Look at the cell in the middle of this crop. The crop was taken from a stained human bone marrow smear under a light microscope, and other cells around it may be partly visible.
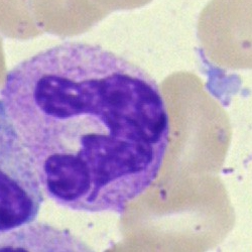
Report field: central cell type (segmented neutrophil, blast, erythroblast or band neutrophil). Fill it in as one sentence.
The centrally placed cell is classified as a segmented neutrophil.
